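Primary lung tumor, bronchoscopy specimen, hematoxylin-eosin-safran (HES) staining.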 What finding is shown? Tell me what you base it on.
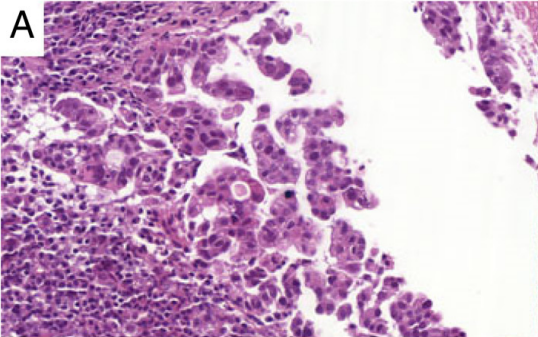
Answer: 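Tumor cells form small gland-like clusters with round lumens. Some lumens hold pink secretion. Dense sheets of small dark lymphoid cells lie beside the tumor cells. On this evidence: adenocarcinoma.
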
